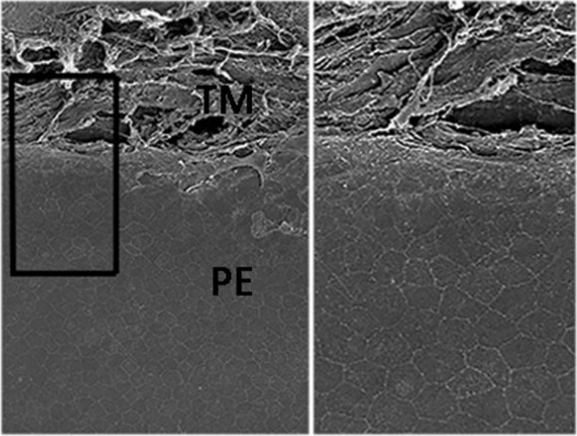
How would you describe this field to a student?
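The upper part is a loose, fibrous meshwork of strands and beams with open spaces between them. Below, the endothelial surface is smooth and flat, with fine borders outlining polygonal cells, seen more clearly in the magnified view on the right. The edge of the meshwork passes directly onto this cell surface without a separating smooth band.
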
